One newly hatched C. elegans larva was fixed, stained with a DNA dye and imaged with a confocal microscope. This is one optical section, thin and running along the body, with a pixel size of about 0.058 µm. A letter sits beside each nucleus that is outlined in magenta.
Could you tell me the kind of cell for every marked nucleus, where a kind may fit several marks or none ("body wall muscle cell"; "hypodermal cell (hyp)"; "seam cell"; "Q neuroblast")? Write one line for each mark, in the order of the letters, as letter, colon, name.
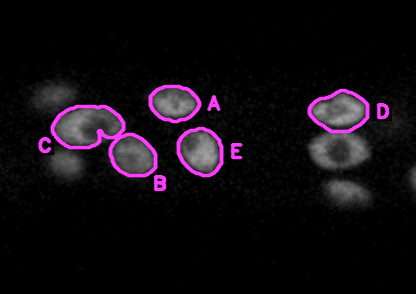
A: body wall muscle cell
B: seam cell
C: hypodermal cell (hyp)
D: body wall muscle cell
E: Q neuroblast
